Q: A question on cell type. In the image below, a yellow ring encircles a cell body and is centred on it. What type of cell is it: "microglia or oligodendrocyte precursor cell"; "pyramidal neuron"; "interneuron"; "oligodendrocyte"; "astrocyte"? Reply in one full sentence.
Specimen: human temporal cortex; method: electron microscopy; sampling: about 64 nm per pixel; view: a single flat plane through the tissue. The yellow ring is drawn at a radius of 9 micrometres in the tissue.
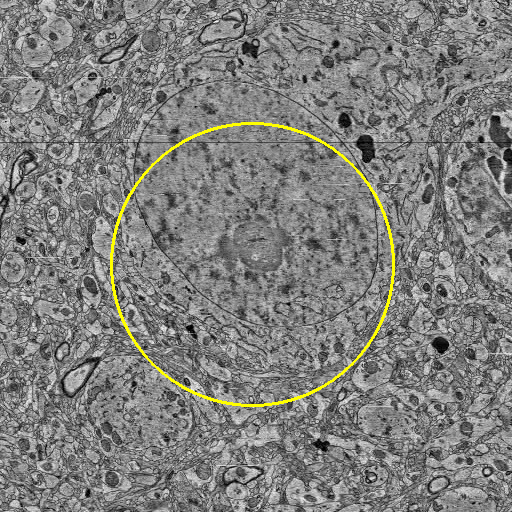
It is a pyramidal neuron whose cell body sits at the centre of the yellow ring in the image.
